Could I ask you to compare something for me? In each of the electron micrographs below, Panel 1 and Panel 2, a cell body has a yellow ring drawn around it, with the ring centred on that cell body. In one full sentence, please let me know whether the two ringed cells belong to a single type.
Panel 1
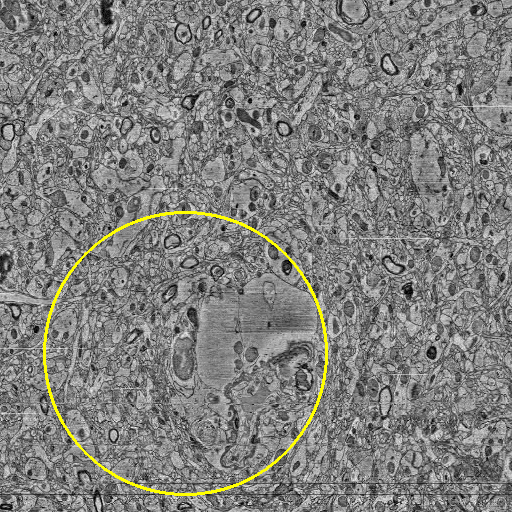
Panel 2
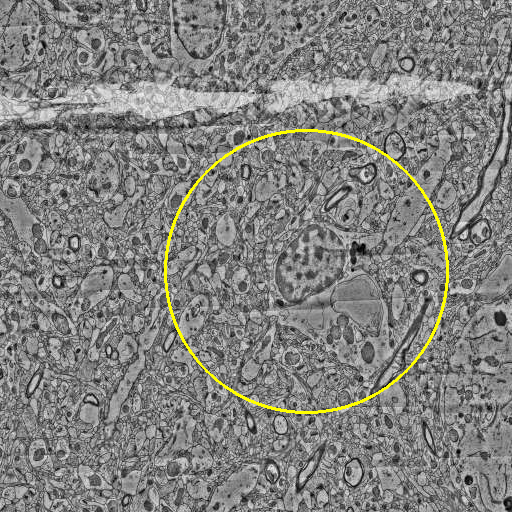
Yes, the two cells at the centres of the rings are of one type.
